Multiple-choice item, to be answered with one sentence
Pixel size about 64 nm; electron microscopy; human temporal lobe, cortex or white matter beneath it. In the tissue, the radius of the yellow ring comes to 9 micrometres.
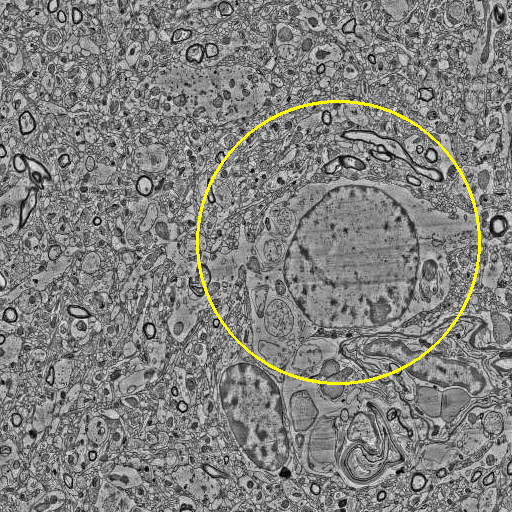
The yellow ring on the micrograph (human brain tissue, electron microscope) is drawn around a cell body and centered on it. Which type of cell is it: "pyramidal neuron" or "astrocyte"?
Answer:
The ring is centered on an astrocyte.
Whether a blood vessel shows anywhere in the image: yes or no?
Yes, one appears.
